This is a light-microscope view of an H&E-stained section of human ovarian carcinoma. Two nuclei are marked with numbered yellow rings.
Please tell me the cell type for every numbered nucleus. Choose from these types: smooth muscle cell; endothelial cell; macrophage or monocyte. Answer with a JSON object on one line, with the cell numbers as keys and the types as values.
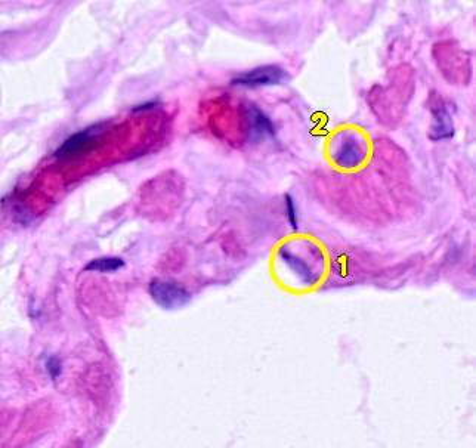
{"1": "endothelial cell", "2": "smooth muscle cell"}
